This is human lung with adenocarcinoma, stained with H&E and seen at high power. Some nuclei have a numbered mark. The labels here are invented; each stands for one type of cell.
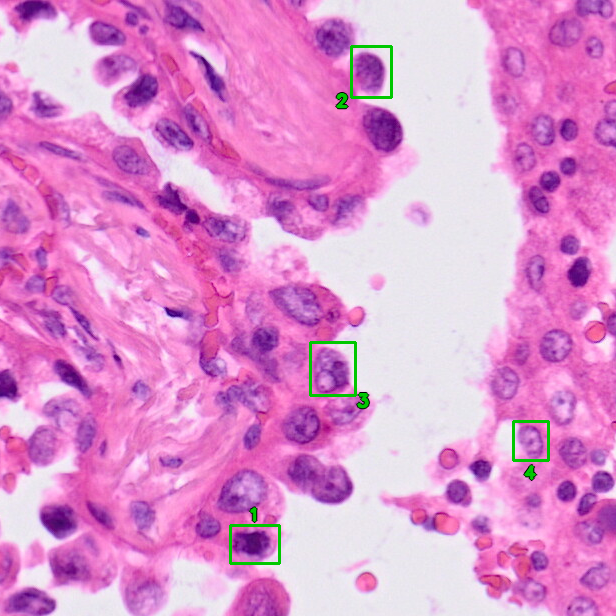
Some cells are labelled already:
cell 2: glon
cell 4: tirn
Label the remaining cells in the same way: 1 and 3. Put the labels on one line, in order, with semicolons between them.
glon; glon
